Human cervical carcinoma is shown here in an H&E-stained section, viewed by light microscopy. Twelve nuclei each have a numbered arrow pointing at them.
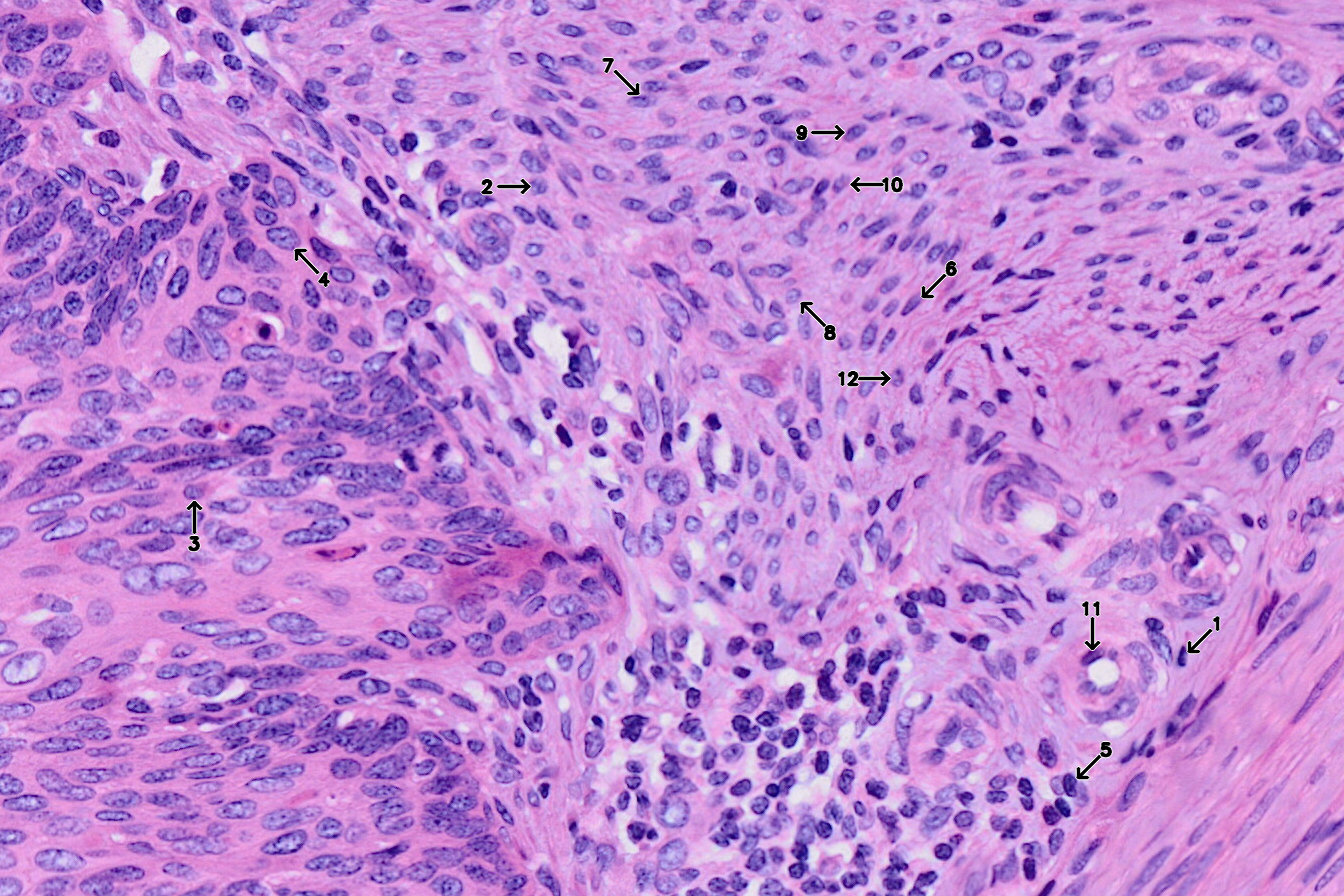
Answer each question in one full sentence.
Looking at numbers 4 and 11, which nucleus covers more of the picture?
Nucleus 4 is the larger one, covering about 2.5 times the area of nucleus 11.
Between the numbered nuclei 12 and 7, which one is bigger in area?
At about 1.5 times the area of nucleus 12, nucleus 7 is the larger of the two.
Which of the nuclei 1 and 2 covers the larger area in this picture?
At about 1.5 times the area of nucleus 1, nucleus 2 is the larger of the two.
